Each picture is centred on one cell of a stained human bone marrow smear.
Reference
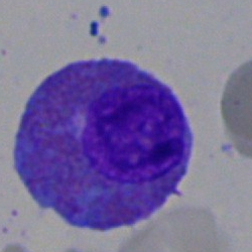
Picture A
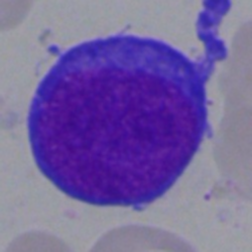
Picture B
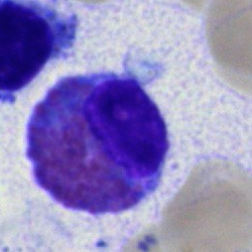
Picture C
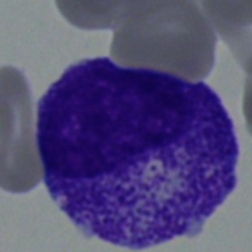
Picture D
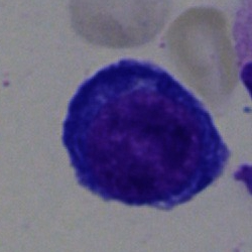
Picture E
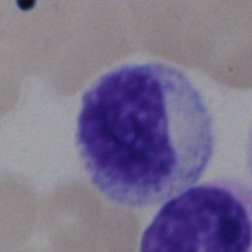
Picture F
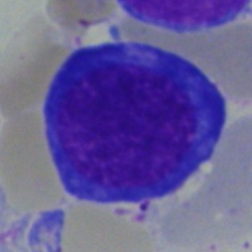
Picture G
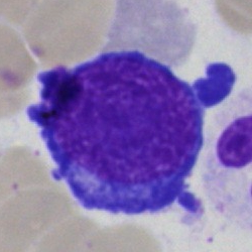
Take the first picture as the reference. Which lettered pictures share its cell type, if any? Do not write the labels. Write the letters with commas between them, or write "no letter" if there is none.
B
